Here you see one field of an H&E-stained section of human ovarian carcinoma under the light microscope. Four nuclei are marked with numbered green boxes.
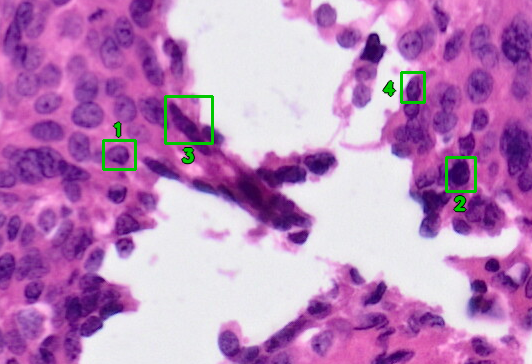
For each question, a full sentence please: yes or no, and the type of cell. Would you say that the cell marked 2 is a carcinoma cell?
Yes, that is so; number 2 marks a carcinoma cell.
